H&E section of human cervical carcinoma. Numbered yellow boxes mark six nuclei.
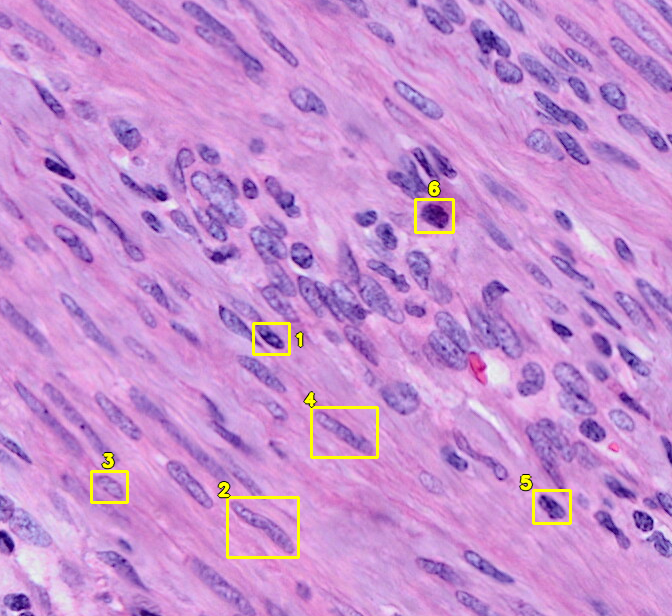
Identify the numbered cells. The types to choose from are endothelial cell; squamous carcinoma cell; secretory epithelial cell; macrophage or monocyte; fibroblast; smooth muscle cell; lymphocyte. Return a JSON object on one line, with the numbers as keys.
{"1": "lymphocyte", "2": "smooth muscle cell", "3": "smooth muscle cell", "4": "smooth muscle cell", "5": "lymphocyte", "6": "lymphocyte"}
